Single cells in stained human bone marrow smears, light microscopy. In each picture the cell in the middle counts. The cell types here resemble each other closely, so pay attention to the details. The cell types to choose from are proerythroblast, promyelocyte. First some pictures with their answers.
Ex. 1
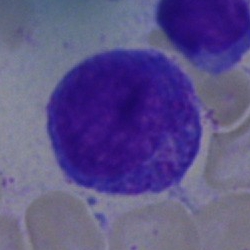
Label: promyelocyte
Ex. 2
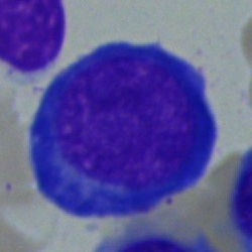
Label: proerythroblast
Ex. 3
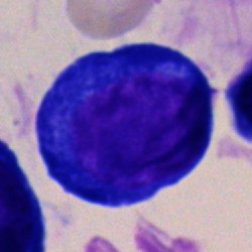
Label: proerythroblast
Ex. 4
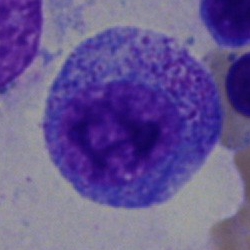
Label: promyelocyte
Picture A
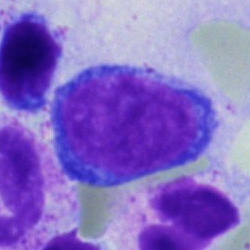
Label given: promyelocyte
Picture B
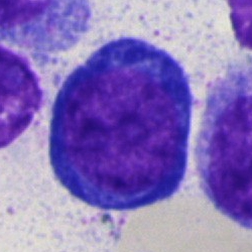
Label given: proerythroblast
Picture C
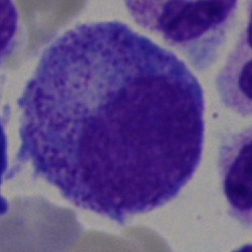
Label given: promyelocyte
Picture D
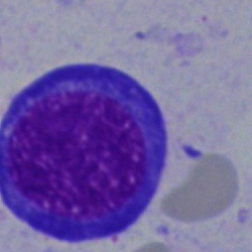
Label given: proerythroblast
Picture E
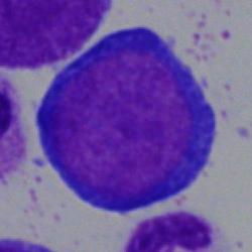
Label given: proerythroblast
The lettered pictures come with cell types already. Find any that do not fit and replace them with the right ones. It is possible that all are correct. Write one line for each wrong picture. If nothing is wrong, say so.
A: change promyelocyte to proerythroblast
